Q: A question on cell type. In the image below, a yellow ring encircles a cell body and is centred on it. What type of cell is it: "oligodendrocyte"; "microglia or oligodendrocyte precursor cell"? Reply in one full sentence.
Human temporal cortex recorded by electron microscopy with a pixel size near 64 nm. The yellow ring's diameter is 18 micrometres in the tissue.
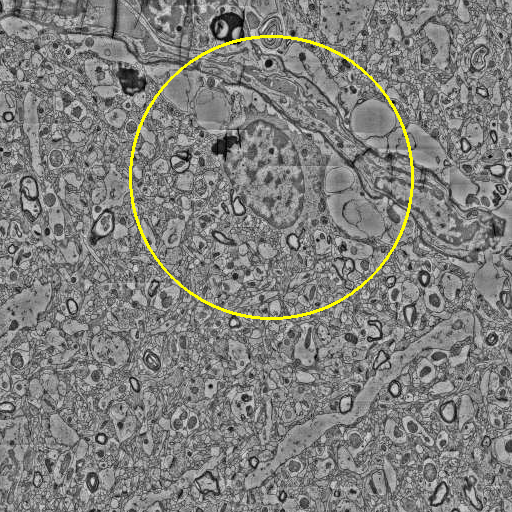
It is an oligodendrocyte whose cell body sits at the centre of the yellow ring in the image.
